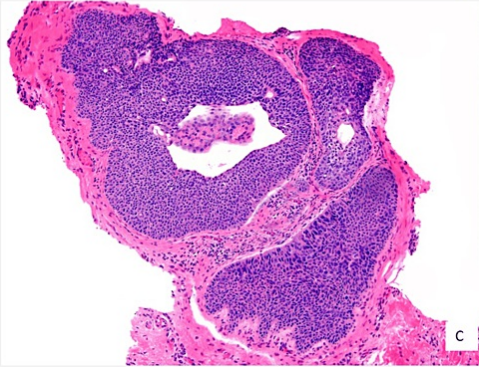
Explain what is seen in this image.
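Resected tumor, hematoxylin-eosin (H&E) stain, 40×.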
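Several rounded nests of densely packed, monomorphic small epithelial cells with dark purple nuclei are seen, separated by thin bands of pink fibrous stroma. The largest nest contains a central, well-defined clear lumen with a small cluster of pinker cells inside, and a neighbouring nest shows a smaller lumen.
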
